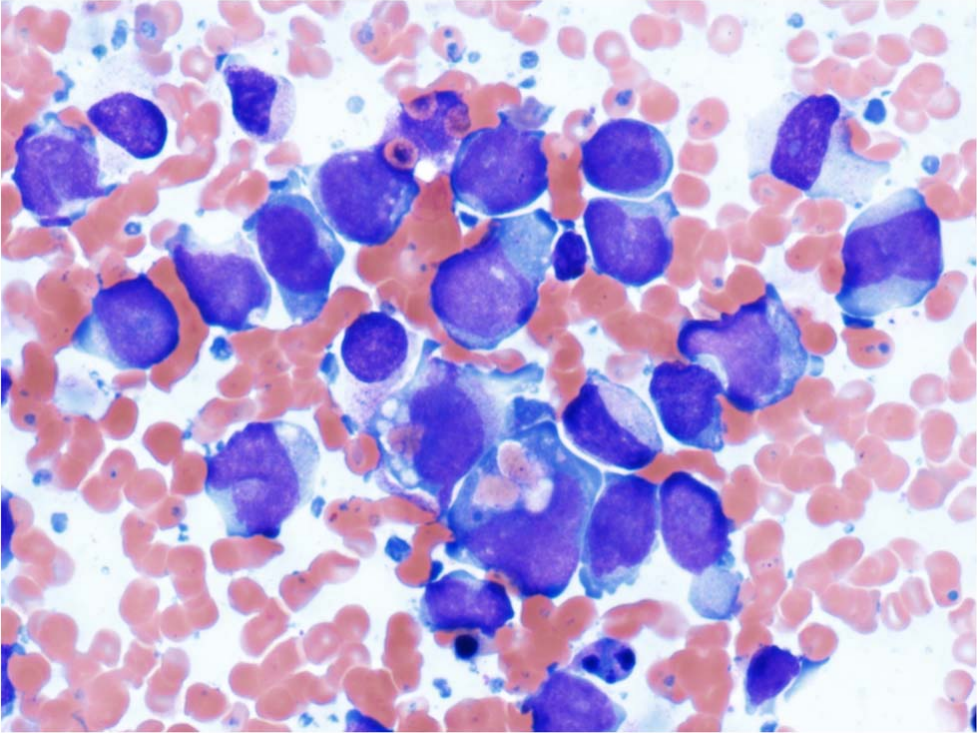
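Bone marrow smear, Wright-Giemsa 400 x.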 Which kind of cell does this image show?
intermediate to large blasts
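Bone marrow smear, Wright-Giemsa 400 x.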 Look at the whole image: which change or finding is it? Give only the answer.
Phagocytosis of red blood cells.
